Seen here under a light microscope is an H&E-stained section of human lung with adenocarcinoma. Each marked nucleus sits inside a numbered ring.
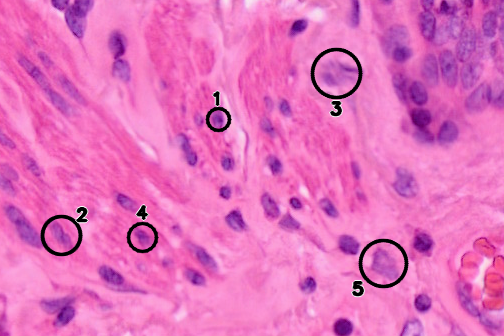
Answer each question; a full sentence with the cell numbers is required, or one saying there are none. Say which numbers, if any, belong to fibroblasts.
The cells numbered 3 and 5 are identified as fibroblasts.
